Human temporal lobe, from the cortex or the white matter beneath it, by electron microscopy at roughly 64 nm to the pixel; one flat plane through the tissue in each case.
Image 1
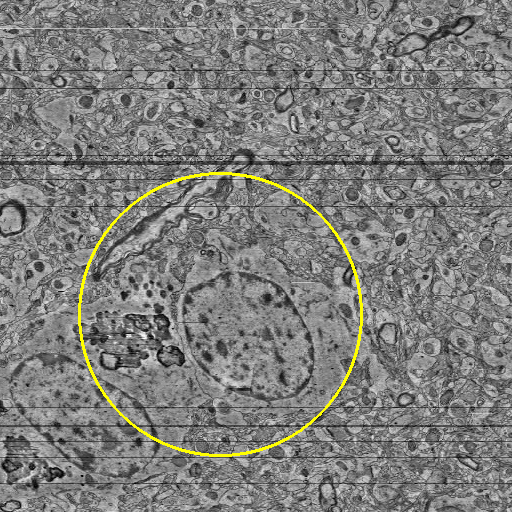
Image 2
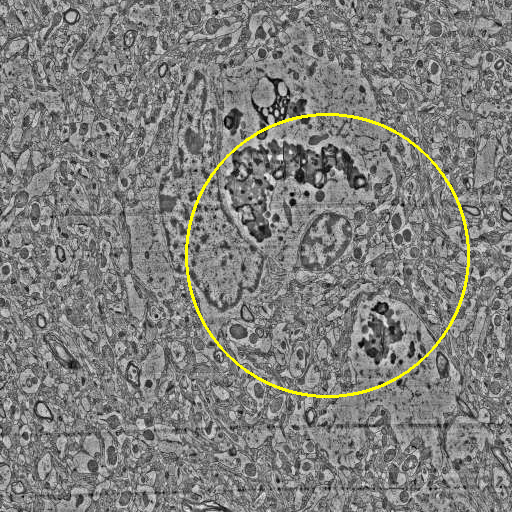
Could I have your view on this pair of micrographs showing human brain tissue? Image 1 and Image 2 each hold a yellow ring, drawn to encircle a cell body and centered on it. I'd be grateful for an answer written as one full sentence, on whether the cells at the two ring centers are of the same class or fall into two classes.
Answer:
The cells at the centers of the two rings fall into two classes.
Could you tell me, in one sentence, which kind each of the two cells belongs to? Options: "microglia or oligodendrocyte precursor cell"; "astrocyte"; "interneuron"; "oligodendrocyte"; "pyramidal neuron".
At the centre of the first ring sits an astrocyte, and at the centre of the second sits a microglial cell or oligodendrocyte precursor cell.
